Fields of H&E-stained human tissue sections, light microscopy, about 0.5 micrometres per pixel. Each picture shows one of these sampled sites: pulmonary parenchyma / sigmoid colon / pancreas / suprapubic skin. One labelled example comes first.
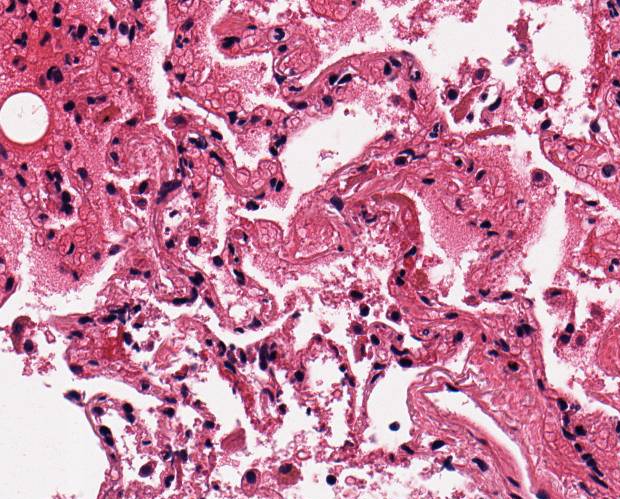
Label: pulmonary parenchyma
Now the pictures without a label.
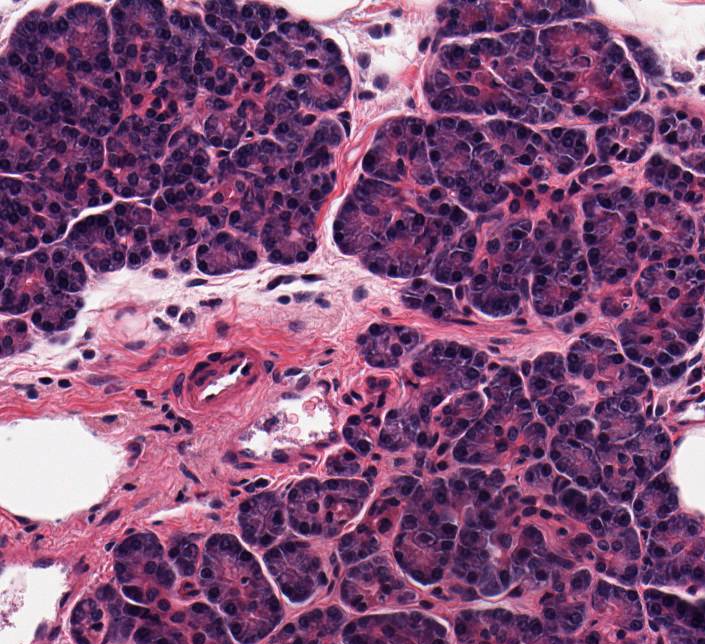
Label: pancreas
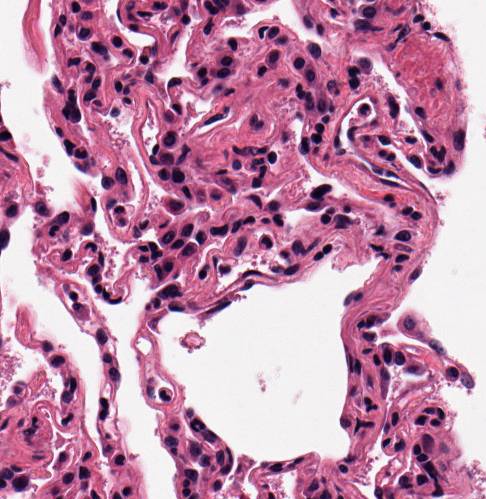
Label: pulmonary parenchyma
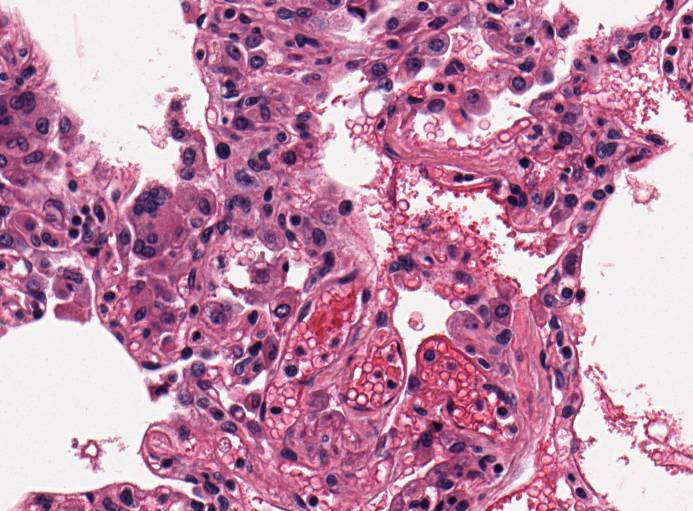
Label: pulmonary parenchyma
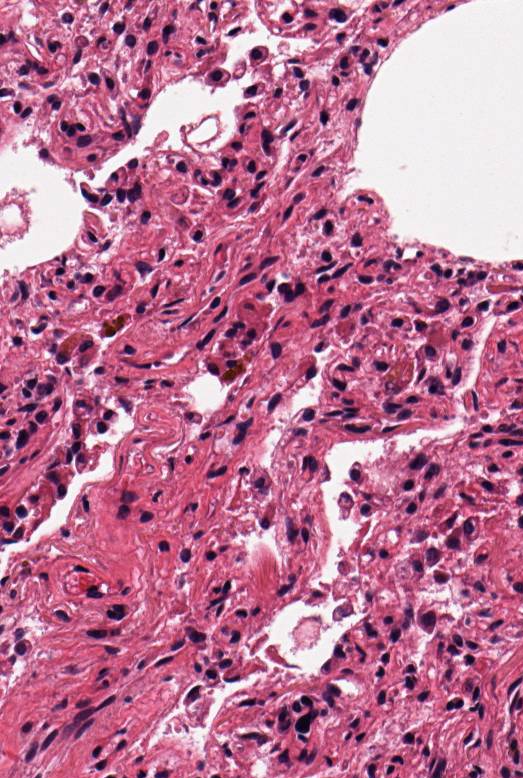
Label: pulmonary parenchyma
